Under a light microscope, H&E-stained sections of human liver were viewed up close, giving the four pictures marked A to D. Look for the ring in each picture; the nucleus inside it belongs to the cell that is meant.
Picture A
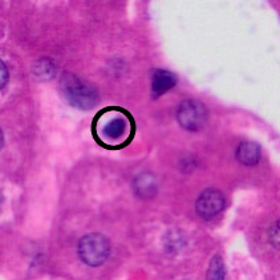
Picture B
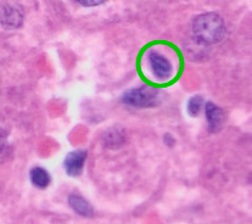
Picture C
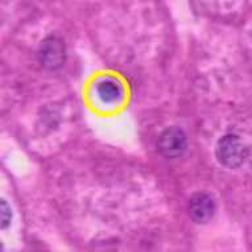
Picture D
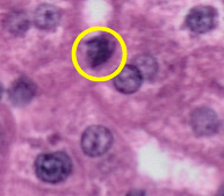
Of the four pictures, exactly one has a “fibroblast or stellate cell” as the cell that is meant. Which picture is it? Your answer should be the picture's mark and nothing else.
D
